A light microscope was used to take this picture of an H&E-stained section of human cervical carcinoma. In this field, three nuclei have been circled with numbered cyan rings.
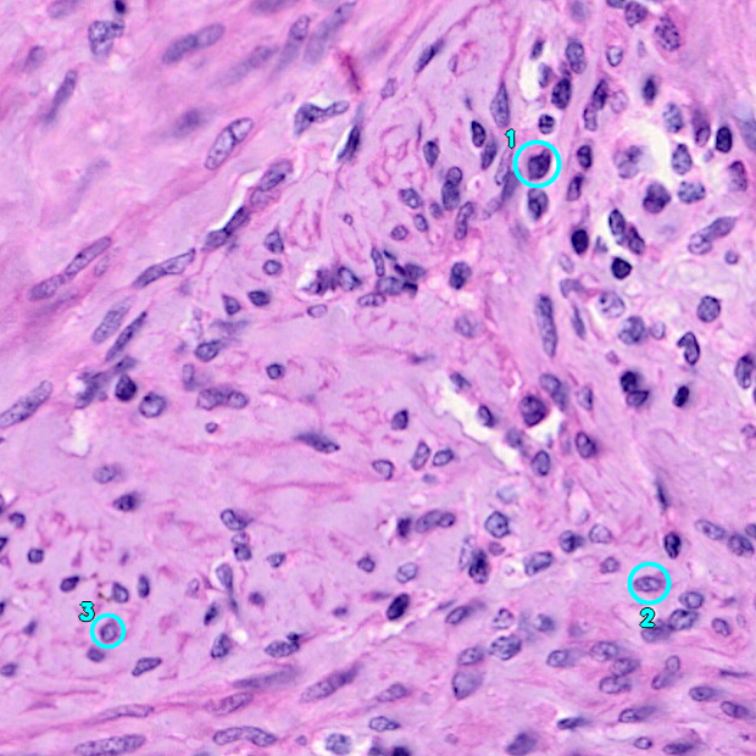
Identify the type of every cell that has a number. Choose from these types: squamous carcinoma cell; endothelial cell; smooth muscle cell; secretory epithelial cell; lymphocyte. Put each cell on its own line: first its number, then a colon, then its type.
1: lymphocyte
2: smooth muscle cell
3: smooth muscle cell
